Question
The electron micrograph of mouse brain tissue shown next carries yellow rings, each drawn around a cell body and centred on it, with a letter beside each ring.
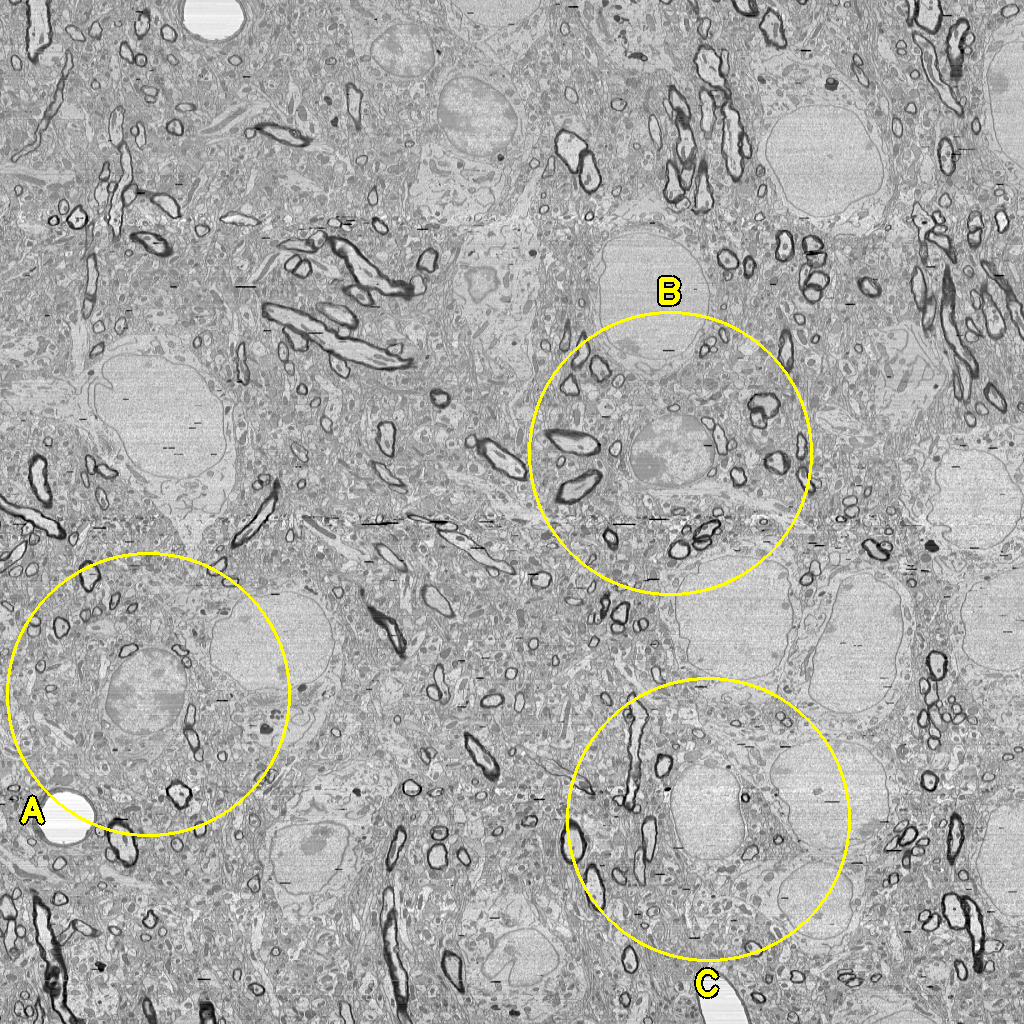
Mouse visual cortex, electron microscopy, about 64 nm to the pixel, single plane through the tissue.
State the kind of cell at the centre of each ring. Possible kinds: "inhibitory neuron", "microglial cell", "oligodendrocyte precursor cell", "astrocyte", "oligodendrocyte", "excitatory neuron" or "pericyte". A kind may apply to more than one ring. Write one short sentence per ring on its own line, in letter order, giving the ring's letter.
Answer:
The cell centred in ring A is an oligodendrocyte.
The cell centred in ring B is an oligodendrocyte.
The cell centred in ring C is an astrocyte.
